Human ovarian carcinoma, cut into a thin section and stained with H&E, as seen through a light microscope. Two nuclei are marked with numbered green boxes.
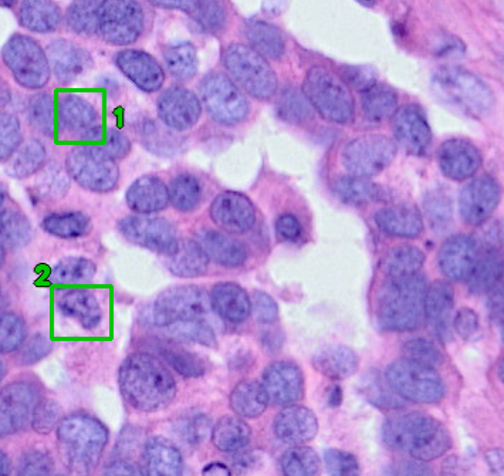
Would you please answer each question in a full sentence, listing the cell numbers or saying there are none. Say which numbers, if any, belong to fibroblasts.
Between them, the numbered cells include no fibroblasts.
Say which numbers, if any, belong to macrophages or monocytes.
The one cell that is a macrophage or monocyte is cell 2, and no other.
